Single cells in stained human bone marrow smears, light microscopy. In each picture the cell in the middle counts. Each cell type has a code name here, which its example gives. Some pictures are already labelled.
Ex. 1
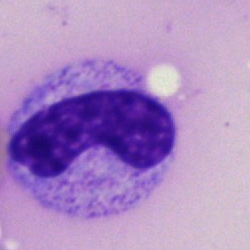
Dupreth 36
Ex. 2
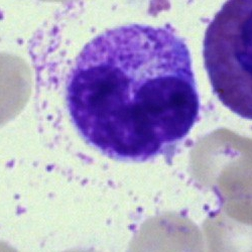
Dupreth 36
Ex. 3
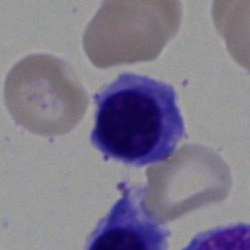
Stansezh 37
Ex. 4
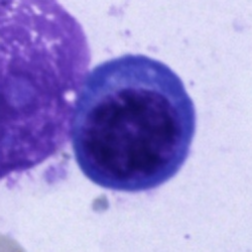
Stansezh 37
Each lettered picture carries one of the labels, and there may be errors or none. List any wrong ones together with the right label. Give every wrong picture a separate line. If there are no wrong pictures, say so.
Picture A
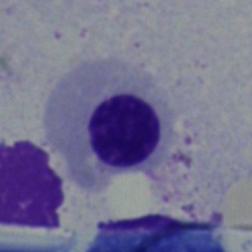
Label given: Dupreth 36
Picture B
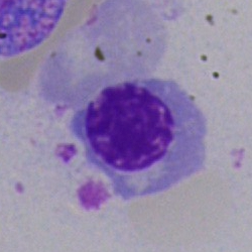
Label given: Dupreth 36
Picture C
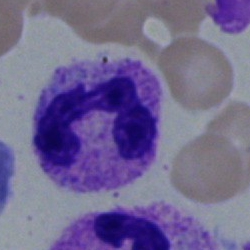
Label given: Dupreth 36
Wrong: A (Dupreth 36); correct: Stansezh 37
Wrong: B (Dupreth 36); correct: Stansezh 37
